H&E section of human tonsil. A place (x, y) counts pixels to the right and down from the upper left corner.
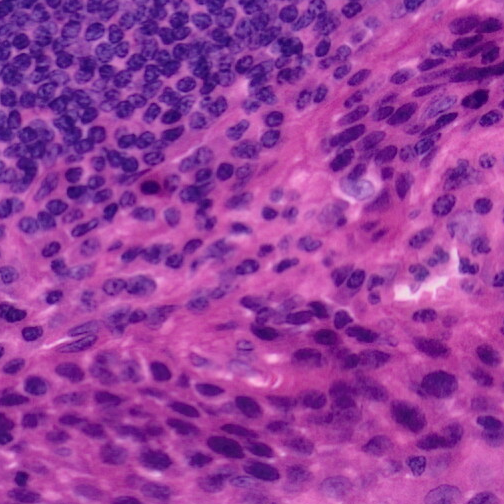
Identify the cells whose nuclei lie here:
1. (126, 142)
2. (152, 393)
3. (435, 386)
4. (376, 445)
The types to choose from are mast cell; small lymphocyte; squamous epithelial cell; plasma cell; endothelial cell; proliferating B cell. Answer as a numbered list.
1. plasma cell
2. squamous epithelial cell
3. squamous epithelial cell
4. squamous epithelial cell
